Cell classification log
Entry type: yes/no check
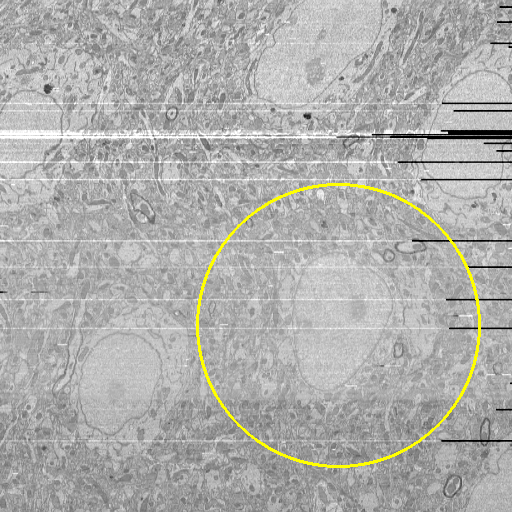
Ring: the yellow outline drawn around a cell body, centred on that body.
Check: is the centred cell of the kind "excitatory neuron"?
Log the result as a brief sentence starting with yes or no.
No, the cell is of another kind.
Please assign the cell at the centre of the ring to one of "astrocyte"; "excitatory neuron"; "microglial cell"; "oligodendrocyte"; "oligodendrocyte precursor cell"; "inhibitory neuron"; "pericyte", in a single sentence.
Instead, the ring in this picture marks an astrocyte.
